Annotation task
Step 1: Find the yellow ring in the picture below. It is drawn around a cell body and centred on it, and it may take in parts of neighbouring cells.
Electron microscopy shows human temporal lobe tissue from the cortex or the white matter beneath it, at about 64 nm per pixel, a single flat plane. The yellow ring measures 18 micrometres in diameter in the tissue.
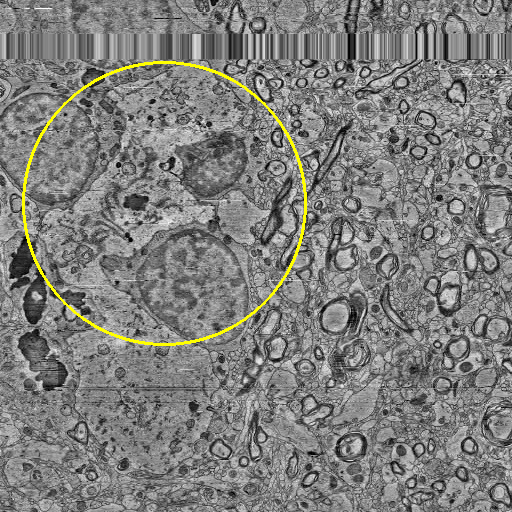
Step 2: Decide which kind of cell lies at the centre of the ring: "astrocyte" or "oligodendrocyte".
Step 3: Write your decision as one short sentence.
The kind of cell at the ring's centre is an oligodendrocyte.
